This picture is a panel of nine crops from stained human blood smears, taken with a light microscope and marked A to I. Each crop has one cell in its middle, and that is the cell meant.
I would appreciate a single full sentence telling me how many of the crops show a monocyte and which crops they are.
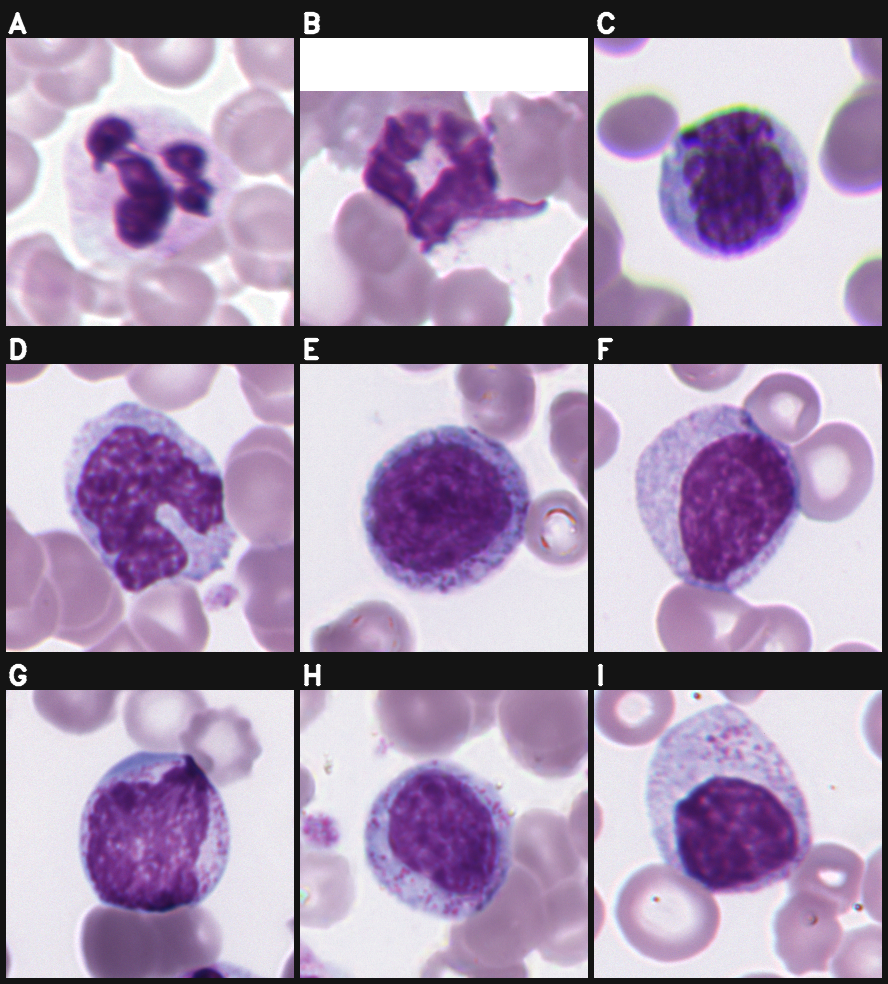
Summing up, there are two crops with monocytes: C and D.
